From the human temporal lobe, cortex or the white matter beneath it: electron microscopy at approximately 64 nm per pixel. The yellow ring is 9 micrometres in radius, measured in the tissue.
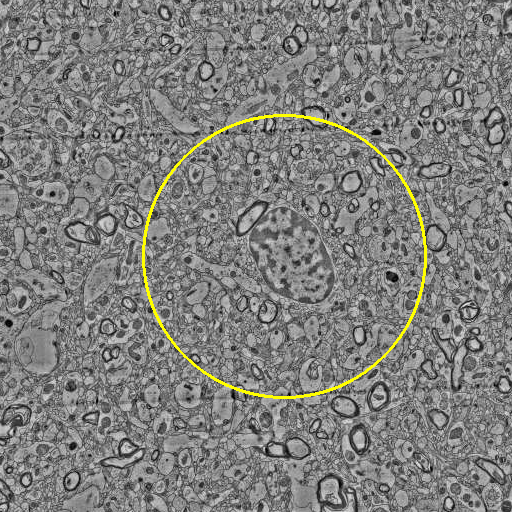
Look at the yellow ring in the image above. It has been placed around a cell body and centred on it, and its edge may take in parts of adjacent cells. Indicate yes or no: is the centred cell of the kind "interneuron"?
no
